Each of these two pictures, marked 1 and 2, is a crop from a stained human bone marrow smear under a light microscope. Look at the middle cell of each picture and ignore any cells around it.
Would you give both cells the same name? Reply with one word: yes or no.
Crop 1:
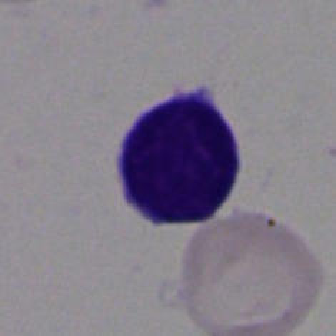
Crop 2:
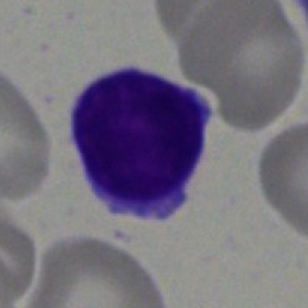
yes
